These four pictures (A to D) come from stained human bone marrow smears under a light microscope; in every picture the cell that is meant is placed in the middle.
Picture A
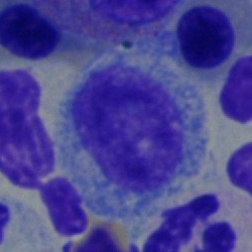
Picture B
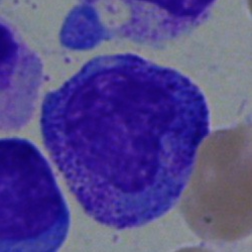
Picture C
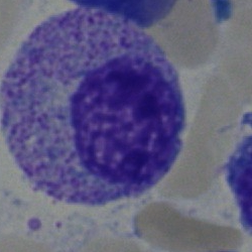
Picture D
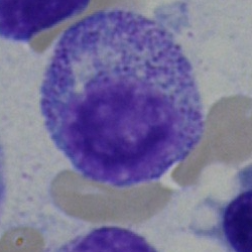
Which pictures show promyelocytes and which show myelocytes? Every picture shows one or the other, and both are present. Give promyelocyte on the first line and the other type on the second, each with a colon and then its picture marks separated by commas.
promyelocyte: B
myelocyte: A, C, D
